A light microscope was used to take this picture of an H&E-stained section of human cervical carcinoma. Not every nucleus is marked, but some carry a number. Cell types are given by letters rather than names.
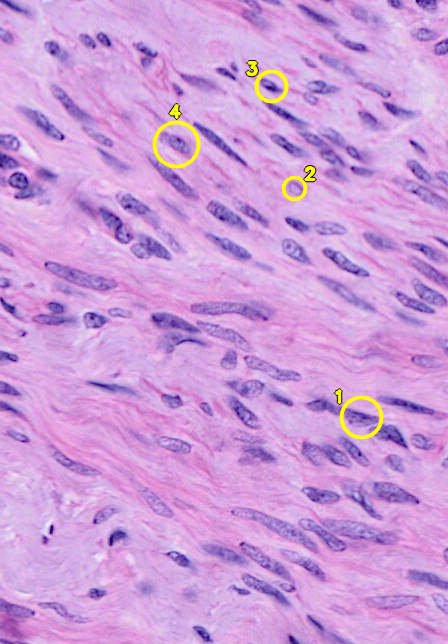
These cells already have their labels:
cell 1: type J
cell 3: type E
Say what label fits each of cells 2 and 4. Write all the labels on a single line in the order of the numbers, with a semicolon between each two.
type E; type E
